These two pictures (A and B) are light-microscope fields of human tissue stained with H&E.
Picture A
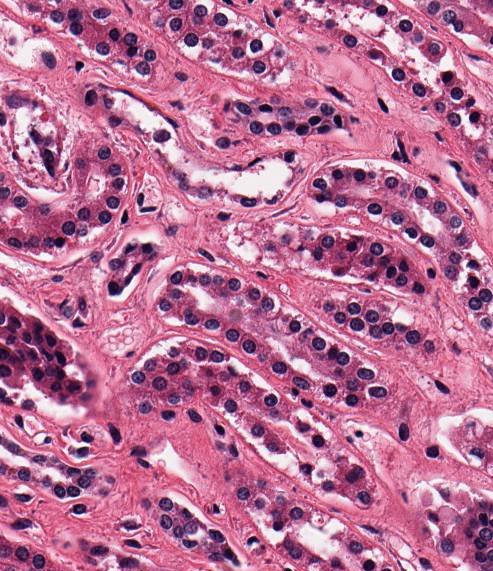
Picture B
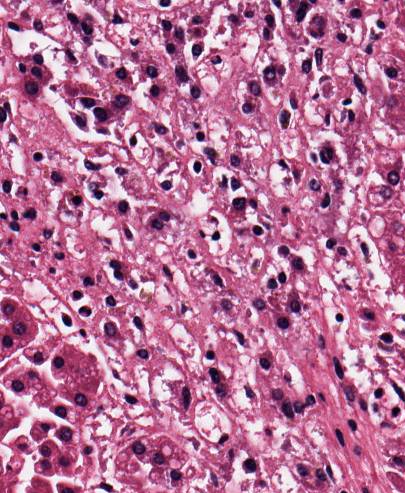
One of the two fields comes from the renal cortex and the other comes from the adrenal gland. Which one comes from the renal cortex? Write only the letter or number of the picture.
A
